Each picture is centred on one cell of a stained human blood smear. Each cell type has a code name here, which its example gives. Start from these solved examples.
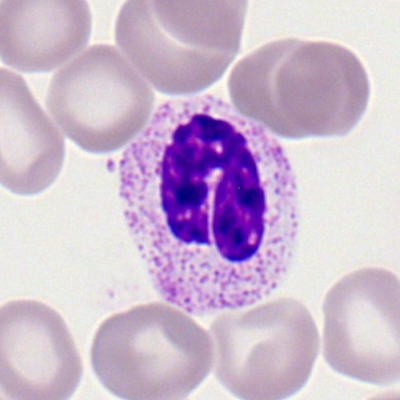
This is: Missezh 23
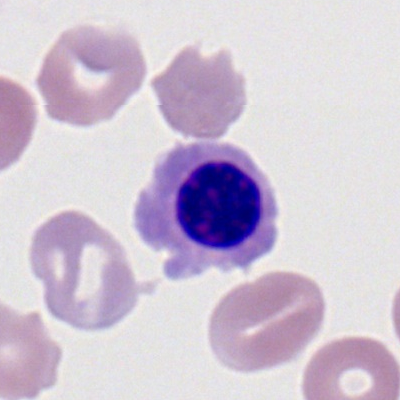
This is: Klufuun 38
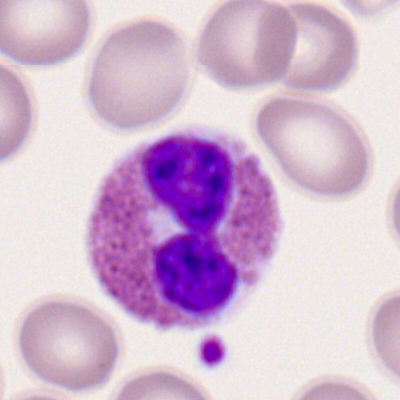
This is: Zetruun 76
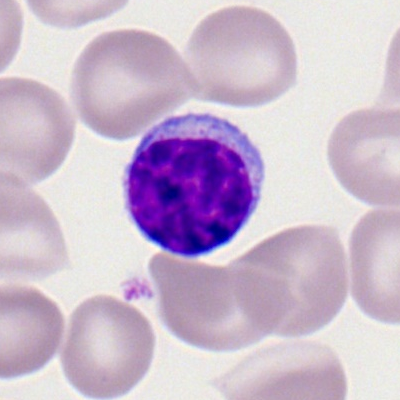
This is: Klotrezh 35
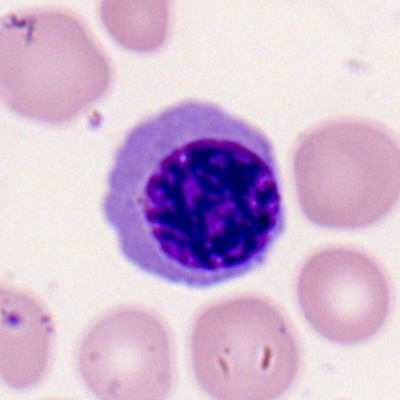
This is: Klufuun 38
